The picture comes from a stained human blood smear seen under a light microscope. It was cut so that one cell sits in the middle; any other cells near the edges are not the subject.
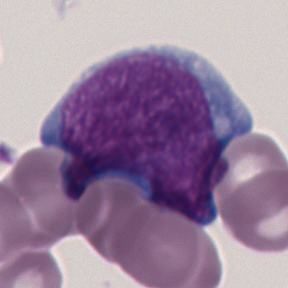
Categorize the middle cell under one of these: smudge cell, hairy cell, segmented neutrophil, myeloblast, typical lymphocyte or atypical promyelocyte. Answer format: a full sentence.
The cell in the middle of this crop is a myeloblast.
